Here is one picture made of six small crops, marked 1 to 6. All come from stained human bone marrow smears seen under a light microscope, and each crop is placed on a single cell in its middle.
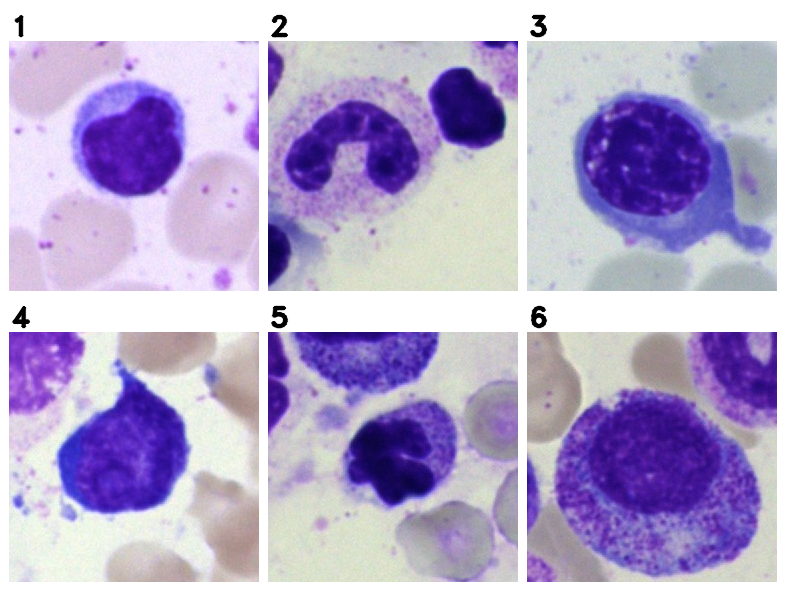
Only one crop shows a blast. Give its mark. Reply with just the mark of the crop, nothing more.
4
